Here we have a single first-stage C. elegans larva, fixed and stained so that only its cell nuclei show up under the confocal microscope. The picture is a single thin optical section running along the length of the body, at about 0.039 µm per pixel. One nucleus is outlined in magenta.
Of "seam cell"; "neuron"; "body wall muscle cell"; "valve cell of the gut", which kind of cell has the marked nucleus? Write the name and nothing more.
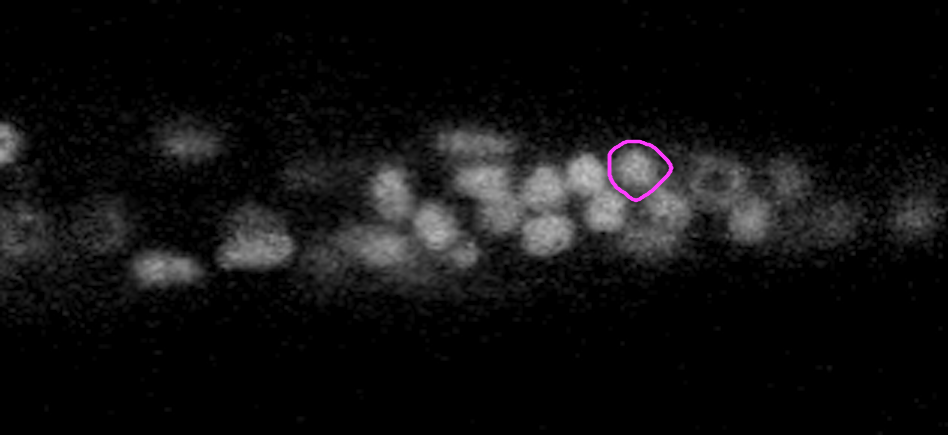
neuron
